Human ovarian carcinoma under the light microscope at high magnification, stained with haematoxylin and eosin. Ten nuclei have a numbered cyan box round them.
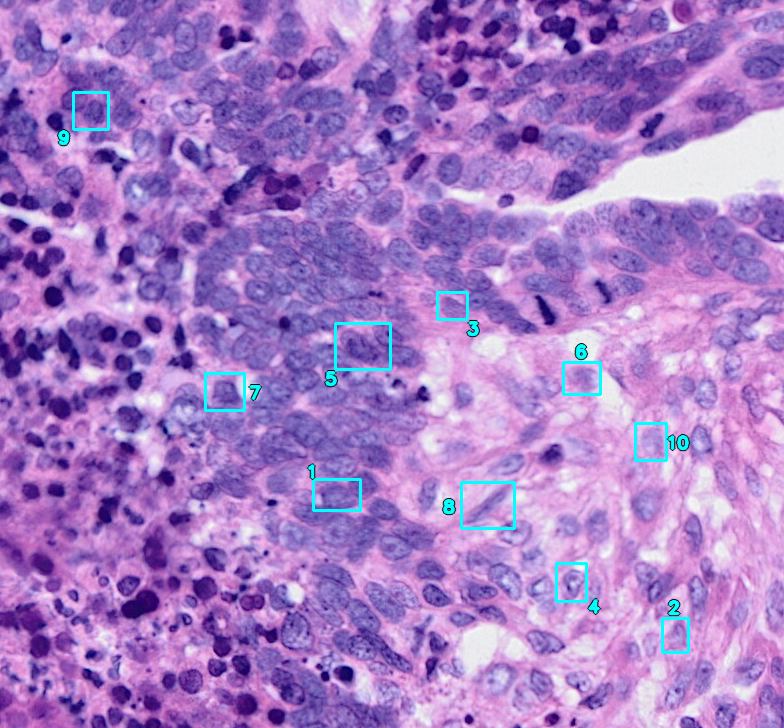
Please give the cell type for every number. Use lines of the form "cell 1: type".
cell 1: carcinoma cell
cell 2: fibroblast
cell 3: carcinoma cell
cell 4: fibroblast
cell 5: carcinoma cell
cell 6: fibroblast
cell 7: carcinoma cell
cell 8: fibroblast
cell 9: carcinoma cell
cell 10: fibroblast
